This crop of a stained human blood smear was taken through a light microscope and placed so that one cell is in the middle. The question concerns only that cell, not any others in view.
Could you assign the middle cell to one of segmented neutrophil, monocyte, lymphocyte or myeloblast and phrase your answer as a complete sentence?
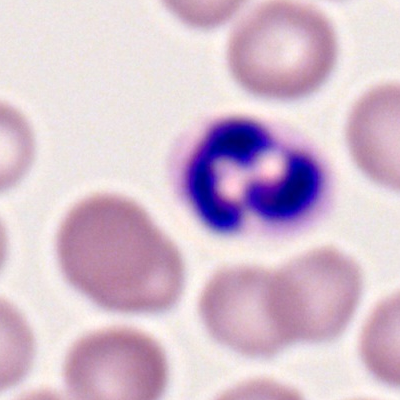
Standing at the centre of this crop is a segmented neutrophil.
